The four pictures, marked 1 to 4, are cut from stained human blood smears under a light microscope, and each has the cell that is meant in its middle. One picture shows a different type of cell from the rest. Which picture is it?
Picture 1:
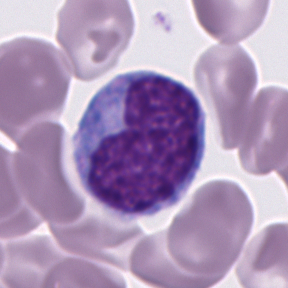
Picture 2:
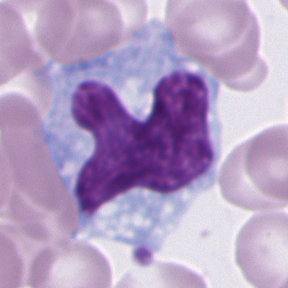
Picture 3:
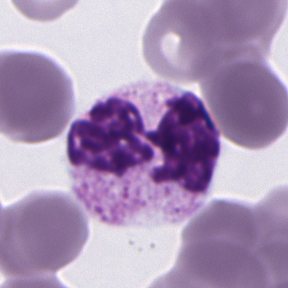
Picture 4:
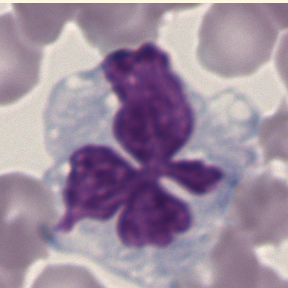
3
